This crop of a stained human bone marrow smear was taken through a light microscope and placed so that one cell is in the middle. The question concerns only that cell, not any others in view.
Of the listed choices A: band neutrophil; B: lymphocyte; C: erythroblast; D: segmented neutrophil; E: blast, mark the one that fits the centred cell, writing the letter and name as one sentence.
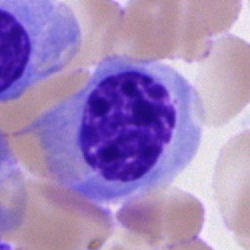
The cell in the centre of the crop is an erythroblast, so option C is the correct one.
